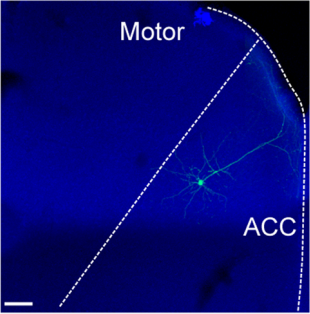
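A single green-filled neuron lies in a blue-stained cortical slice, its cell body well inside the tissue between two dashed lines. One long, thick process runs from the cell body toward the curved outer surface of the slice, while several thinner processes spread out in other directions around the cell body. The long process toward the surface is the apical dendrite and the shorter radiating ones are basal dendrites, giving the cell the form of a pyramidal neuron.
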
